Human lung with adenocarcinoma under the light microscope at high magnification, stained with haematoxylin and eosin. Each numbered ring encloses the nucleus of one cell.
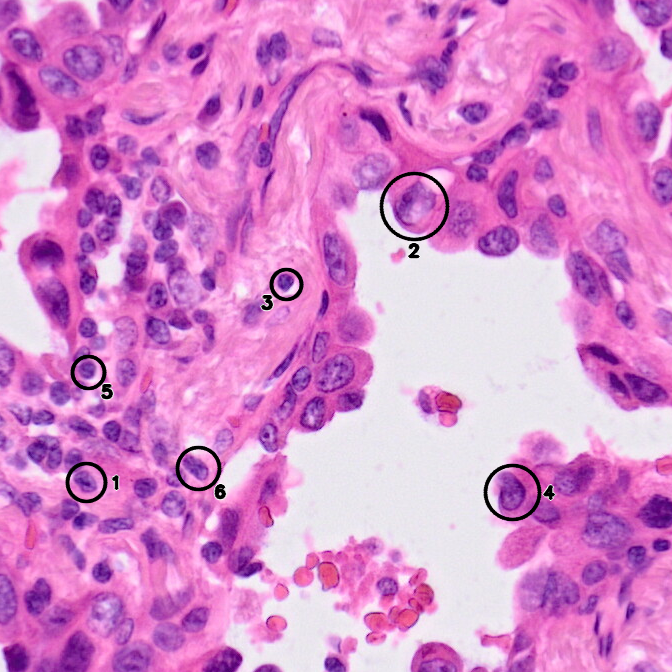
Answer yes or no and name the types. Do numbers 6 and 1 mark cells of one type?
Yes, lymphocytes are what cells 6 and 1 both are.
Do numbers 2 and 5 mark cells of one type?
No, in this section cell 2 is a carcinoma cell and cell 5 is a lymphocyte.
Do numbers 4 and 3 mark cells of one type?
No, cell 4 is a carcinoma cell, and cell 3 is, by contrast, a lymphocyte.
